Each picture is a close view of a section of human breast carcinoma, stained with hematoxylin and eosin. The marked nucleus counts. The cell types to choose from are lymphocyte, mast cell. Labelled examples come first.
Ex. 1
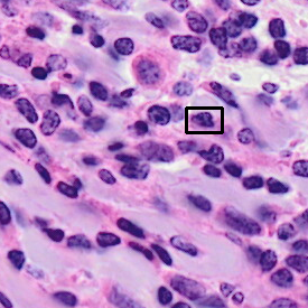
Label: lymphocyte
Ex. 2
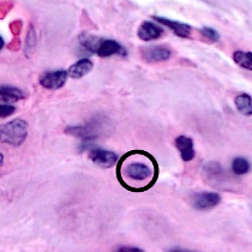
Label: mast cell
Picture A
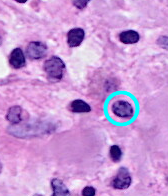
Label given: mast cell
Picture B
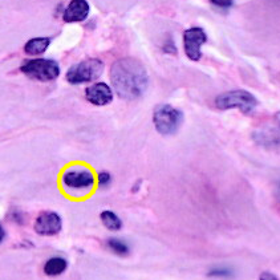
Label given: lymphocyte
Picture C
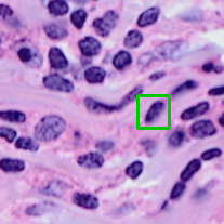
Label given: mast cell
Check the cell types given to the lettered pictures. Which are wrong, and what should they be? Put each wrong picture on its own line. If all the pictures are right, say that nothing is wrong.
C: lymphocyte, not mast cell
